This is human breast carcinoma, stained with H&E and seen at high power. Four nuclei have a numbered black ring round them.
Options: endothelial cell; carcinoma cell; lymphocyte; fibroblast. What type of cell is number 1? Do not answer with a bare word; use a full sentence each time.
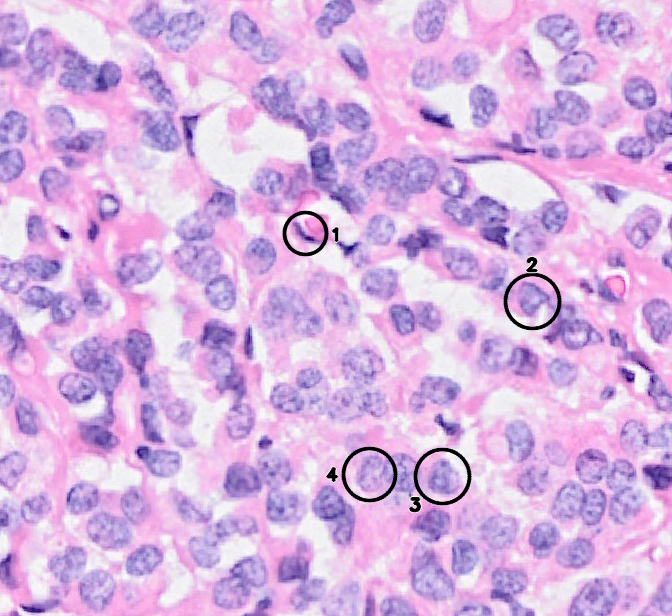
The marked cell with the number 1 is recognised as an endothelial cell.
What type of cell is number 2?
Recognised here as a carcinoma cell is the cell numbered 2.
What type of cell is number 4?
The numeral 4 marks a carcinoma cell in this section.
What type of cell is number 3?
The nucleus with number 3 is that of a carcinoma cell.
